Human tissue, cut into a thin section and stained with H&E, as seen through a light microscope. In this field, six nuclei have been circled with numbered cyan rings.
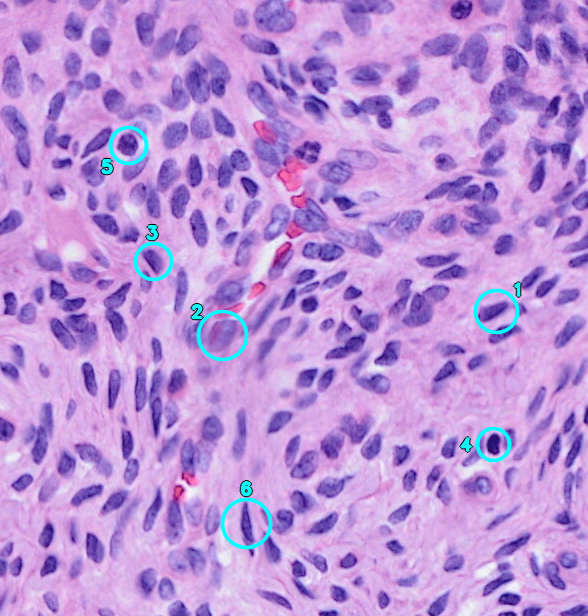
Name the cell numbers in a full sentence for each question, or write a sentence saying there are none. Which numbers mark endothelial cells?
Just one numbered cell is an endothelial cell, and that cell is number 2.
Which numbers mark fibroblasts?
The numbers 1, 3 and 6 refer to cells that are fibroblasts.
